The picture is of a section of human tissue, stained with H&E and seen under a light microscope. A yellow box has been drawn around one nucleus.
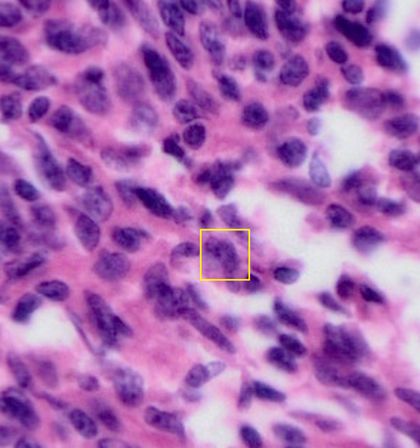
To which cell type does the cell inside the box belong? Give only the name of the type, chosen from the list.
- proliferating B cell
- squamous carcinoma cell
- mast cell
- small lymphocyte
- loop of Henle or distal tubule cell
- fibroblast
proliferating B cell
